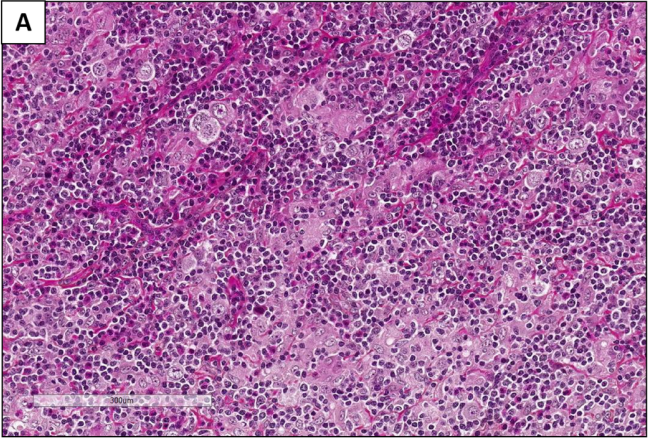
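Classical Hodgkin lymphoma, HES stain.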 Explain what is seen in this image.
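Scattered among sheets of small dark round cells are large cells with abundant pale pink cytoplasm and large nuclei, some with two or more nuclei bearing prominent nucleoli. Bands of pink fibrous tissue run diagonally across the field. The large cells are Reed‐Sternberg cells, and the small cells around them form a mixed inflammatory background of lymphocytes and other inflammatory cells.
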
